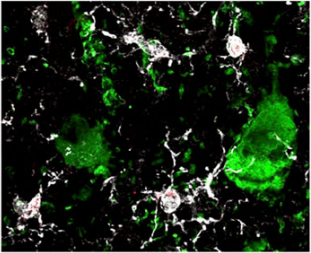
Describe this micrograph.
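The microglia have small cell bodies from which many thin, finely branching processes extend. Only small specks of red appear within a few of them. The green neurons have large cell bodies, and many small green fibre fragments fill the background between them.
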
